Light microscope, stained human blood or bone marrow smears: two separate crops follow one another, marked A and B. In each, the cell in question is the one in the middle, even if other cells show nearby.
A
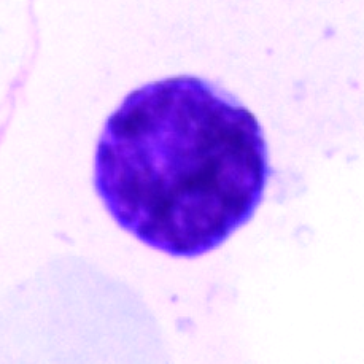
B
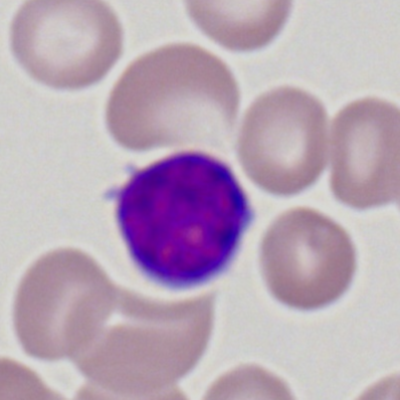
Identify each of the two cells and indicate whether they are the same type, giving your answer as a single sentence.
Yes, the cells that both crops show at the centre are lymphocytes.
